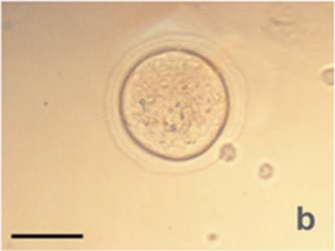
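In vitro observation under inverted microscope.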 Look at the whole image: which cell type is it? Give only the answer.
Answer: Oocyte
